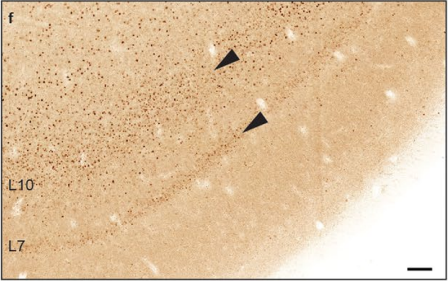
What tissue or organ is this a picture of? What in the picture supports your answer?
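The tissue is arranged in curved parallel bands running across the panel. Two bands are densely packed with small dark brown dots. The answer: tectum opticum.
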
